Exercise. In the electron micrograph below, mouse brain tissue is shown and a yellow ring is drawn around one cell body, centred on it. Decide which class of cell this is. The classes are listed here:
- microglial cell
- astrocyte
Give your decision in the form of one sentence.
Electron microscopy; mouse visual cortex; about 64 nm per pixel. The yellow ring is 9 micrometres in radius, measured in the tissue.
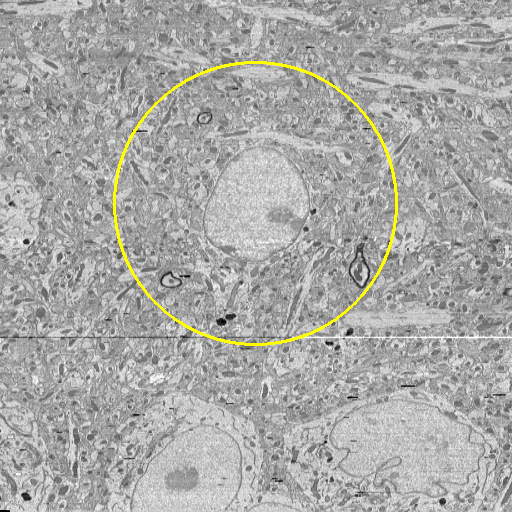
The cell body marked by the ring belongs to an astrocyte.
